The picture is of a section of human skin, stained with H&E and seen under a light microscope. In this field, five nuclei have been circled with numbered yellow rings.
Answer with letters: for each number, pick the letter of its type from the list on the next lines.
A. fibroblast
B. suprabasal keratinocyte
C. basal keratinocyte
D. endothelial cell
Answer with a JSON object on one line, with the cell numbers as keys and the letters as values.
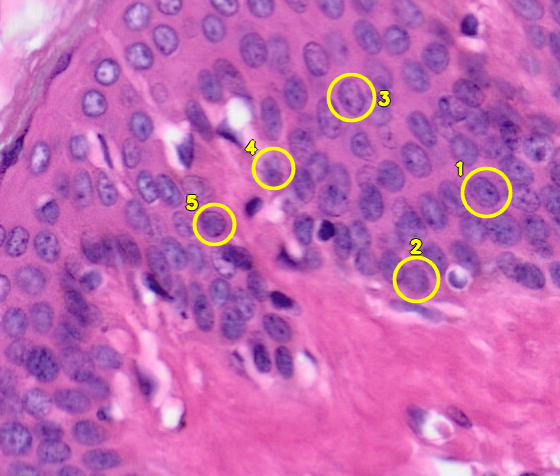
{"1": "B", "2": "C", "3": "B", "4": "C", "5": "C"}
